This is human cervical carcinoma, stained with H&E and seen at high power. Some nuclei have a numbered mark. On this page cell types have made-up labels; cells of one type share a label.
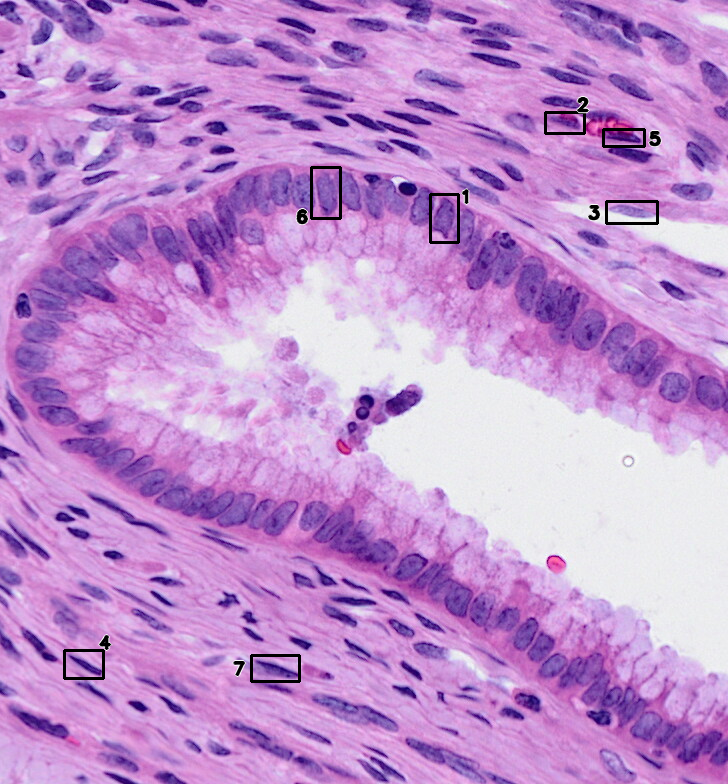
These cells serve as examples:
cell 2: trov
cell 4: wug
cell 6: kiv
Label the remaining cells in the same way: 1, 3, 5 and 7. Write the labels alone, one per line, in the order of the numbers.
kiv
trov
trov
wug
